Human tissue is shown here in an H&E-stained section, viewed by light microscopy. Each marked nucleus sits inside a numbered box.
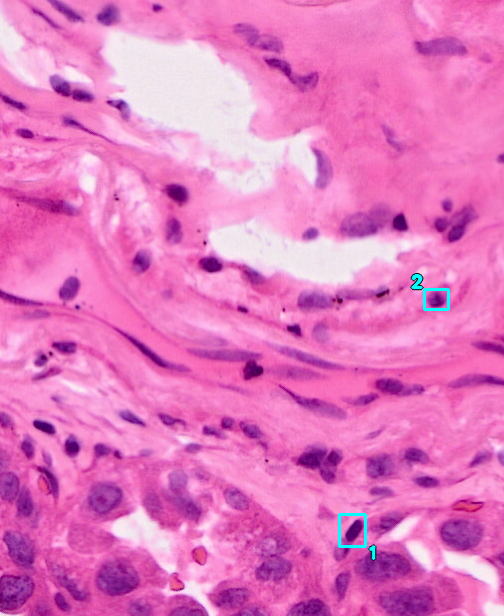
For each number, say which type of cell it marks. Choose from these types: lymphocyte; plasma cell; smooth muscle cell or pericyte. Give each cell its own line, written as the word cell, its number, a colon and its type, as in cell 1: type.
cell 1: lymphocyte
cell 2: smooth muscle cell or pericyte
